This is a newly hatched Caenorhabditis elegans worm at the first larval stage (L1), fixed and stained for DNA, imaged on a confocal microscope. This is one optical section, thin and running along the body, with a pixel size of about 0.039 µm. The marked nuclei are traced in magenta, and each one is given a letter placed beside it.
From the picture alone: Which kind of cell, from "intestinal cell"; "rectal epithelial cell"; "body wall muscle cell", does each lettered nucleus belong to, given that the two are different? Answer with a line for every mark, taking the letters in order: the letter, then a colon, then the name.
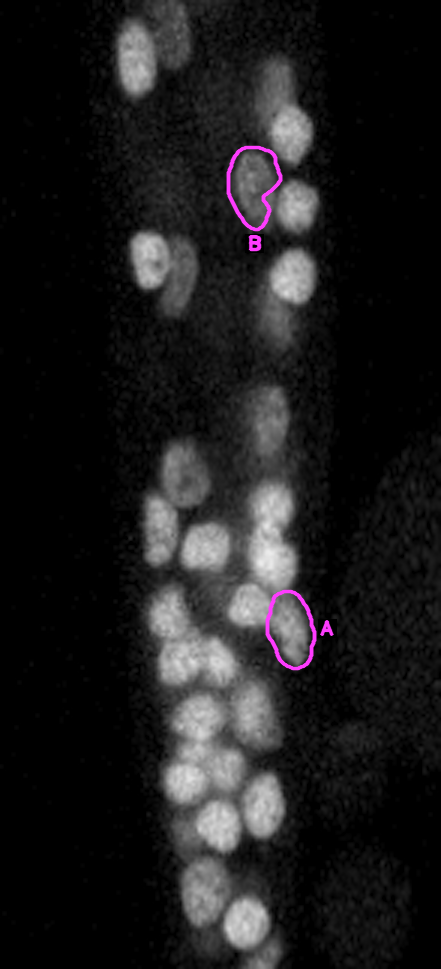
A: rectal epithelial cell
B: intestinal cell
